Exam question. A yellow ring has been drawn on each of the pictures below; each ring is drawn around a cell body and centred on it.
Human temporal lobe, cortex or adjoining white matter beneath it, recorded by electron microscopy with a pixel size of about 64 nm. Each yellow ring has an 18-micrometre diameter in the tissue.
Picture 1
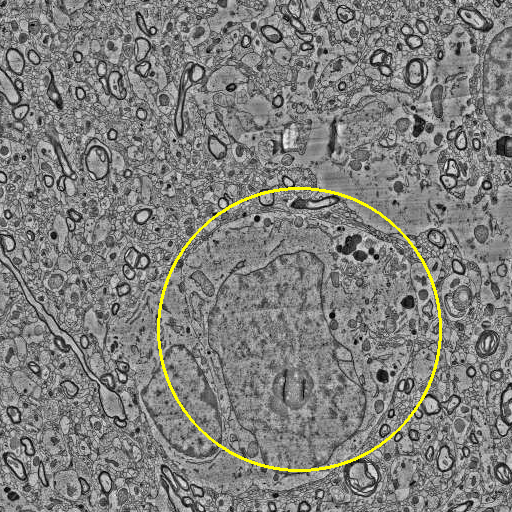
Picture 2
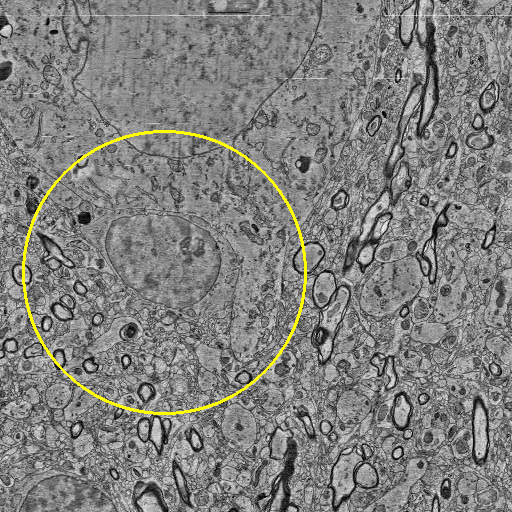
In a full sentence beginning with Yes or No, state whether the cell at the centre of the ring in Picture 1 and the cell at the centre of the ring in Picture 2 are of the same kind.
No, the cells are of two kinds.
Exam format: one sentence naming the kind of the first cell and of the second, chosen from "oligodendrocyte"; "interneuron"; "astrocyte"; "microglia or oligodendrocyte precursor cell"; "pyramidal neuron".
The first picture's cell is a pyramidal neuron, and the second picture's cell is an oligodendrocyte.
